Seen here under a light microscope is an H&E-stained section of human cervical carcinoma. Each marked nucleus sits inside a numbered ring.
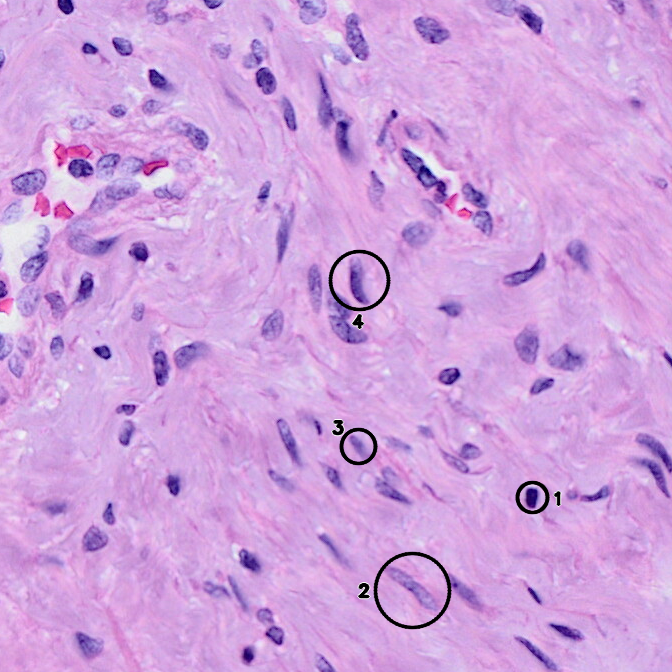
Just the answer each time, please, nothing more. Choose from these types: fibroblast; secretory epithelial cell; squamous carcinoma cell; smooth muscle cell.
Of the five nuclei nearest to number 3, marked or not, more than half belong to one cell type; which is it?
smooth muscle cell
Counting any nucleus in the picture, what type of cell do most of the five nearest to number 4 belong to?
fibroblast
